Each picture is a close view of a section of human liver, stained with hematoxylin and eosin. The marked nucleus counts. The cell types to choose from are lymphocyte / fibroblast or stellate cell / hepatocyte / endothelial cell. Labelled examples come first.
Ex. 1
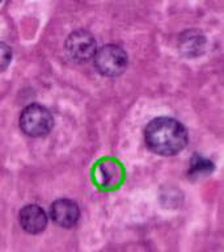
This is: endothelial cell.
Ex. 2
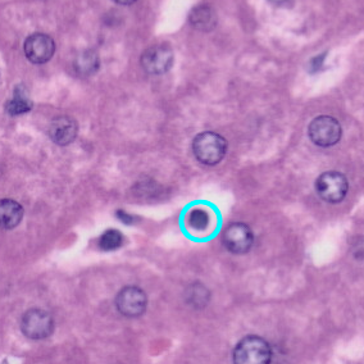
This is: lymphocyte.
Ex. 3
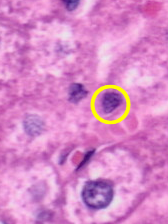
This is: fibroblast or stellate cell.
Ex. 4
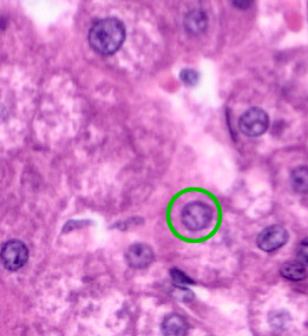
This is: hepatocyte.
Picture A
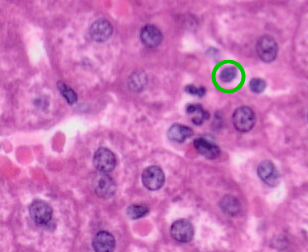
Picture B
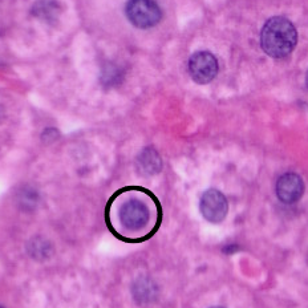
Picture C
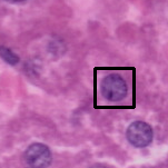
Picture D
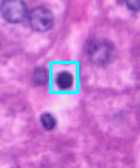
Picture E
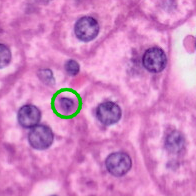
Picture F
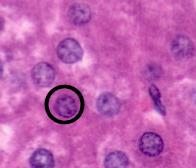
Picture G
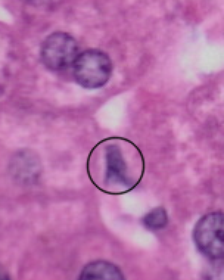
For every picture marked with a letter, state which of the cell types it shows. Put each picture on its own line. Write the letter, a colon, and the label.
A: lymphocyte.
B: hepatocyte.
C: hepatocyte.
D: lymphocyte.
E: fibroblast or stellate cell.
F: hepatocyte.
G: fibroblast or stellate cell.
